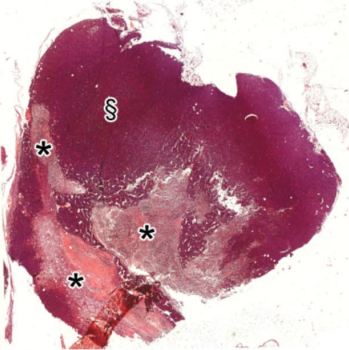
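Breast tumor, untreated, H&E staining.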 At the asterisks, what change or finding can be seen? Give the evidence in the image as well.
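The asterisks lie in broad pale pink, poorly stained zones. These zones lack the dense purple staining of the rest of the section.
Hence: large necrotic regions.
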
